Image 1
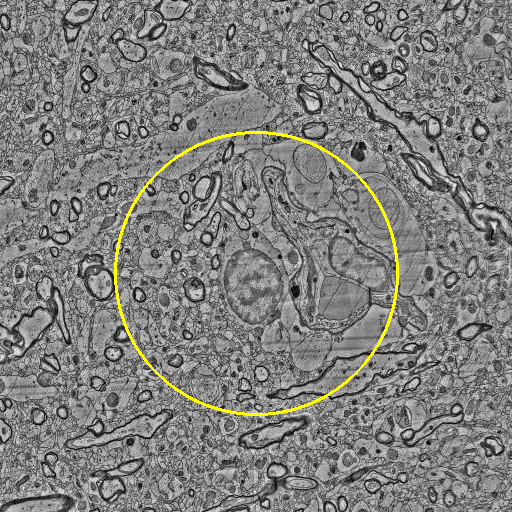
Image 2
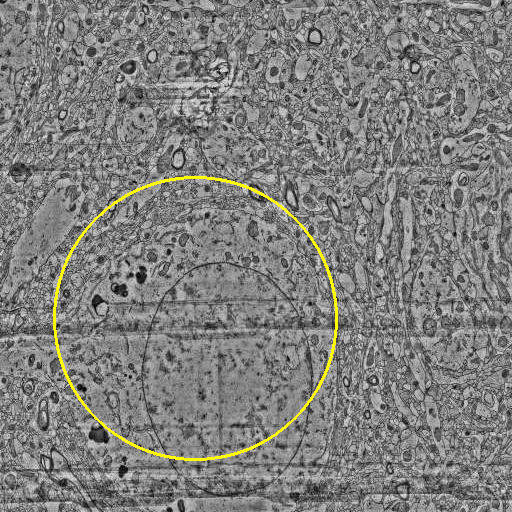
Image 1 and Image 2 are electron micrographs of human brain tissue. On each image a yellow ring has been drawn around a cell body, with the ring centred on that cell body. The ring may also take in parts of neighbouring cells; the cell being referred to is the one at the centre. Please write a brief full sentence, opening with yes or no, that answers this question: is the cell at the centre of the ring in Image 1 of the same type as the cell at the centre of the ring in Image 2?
No, the two cells are of two types.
